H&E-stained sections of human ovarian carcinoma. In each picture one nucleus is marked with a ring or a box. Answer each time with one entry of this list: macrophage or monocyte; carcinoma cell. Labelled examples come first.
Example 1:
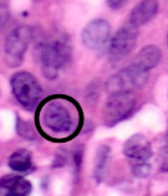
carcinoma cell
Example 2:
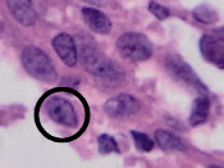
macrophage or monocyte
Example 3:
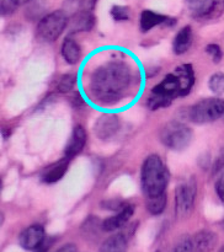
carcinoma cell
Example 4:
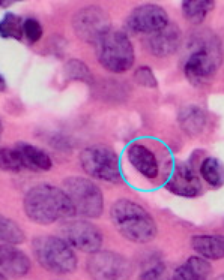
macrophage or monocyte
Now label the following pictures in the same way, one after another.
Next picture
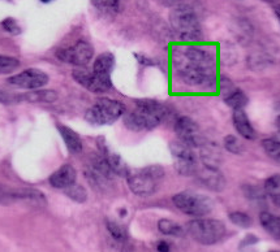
carcinoma cell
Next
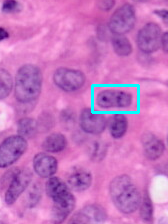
macrophage or monocyte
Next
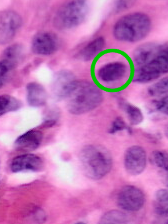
carcinoma cell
